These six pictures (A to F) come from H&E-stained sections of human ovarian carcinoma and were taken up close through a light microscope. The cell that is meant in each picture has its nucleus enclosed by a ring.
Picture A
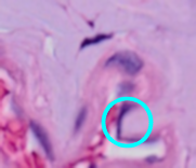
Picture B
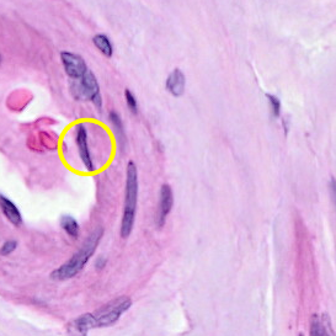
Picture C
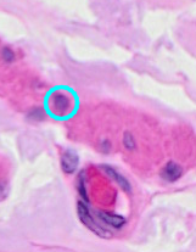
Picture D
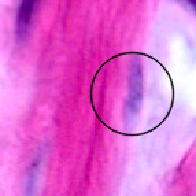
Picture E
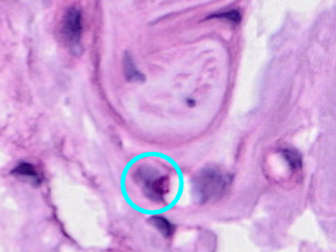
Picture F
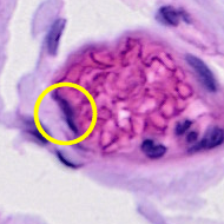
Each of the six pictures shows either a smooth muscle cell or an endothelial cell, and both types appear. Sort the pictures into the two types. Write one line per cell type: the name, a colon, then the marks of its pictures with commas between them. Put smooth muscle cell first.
smooth muscle cell: C, D
endothelial cell: A, B, E, F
